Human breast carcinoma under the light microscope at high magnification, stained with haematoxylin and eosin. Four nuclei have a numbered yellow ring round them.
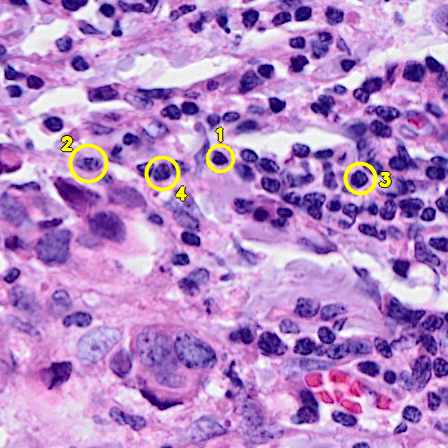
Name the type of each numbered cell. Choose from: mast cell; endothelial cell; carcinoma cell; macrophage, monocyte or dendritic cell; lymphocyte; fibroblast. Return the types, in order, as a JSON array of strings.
["lymphocyte", "mast cell", "lymphocyte", "lymphocyte"]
